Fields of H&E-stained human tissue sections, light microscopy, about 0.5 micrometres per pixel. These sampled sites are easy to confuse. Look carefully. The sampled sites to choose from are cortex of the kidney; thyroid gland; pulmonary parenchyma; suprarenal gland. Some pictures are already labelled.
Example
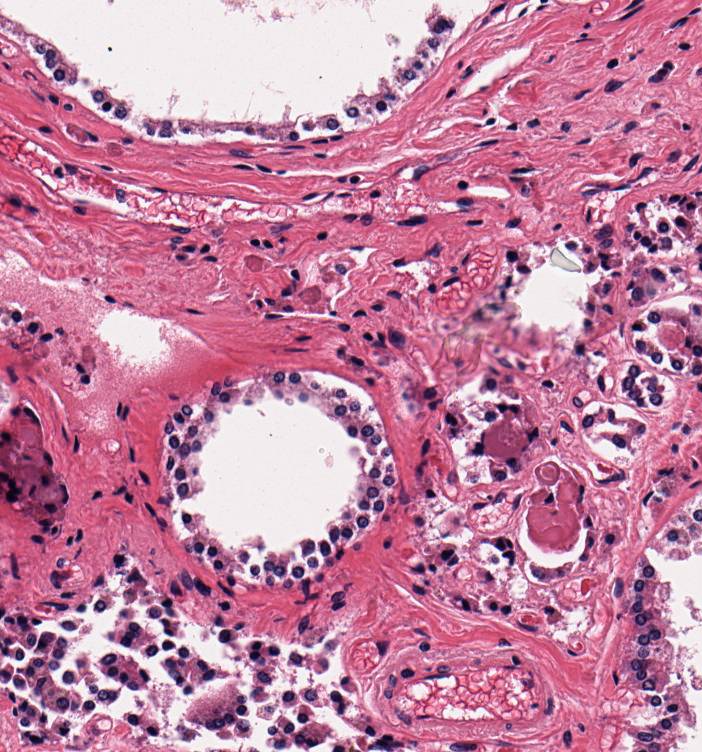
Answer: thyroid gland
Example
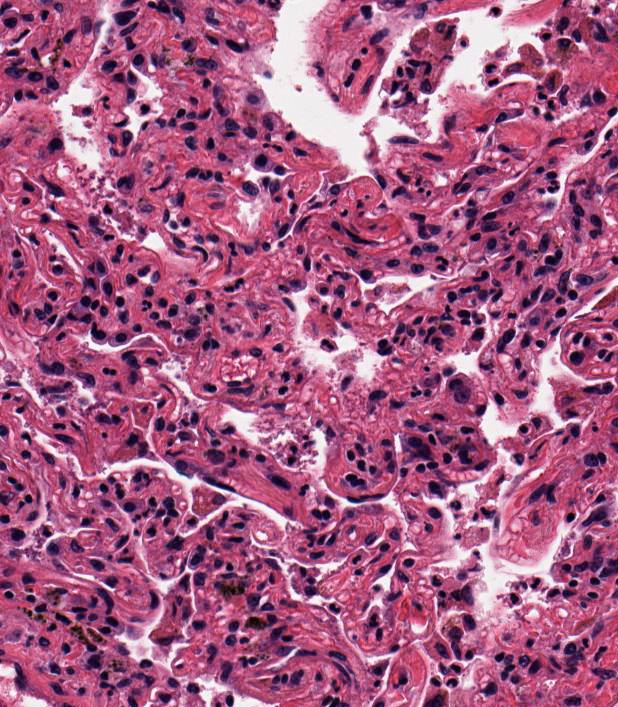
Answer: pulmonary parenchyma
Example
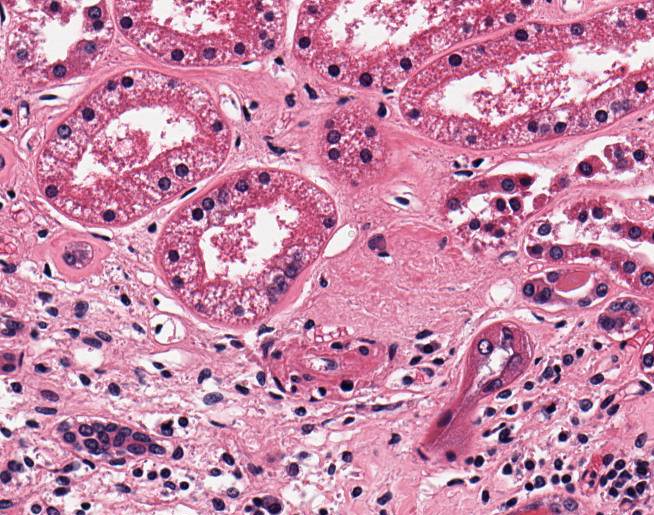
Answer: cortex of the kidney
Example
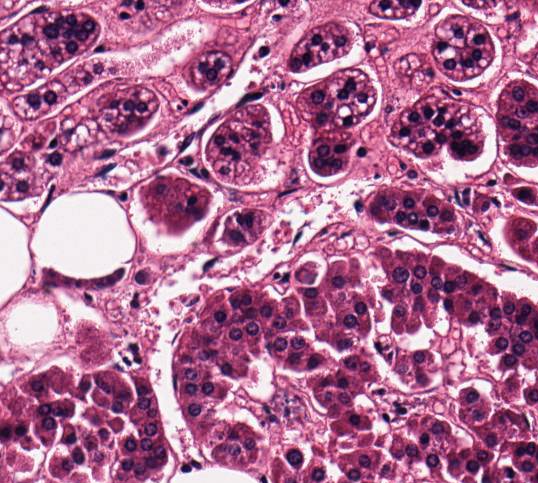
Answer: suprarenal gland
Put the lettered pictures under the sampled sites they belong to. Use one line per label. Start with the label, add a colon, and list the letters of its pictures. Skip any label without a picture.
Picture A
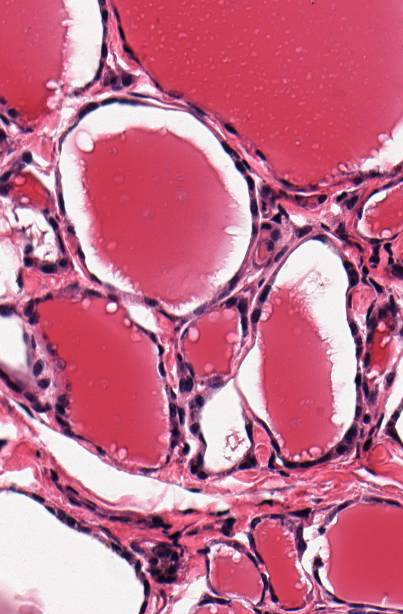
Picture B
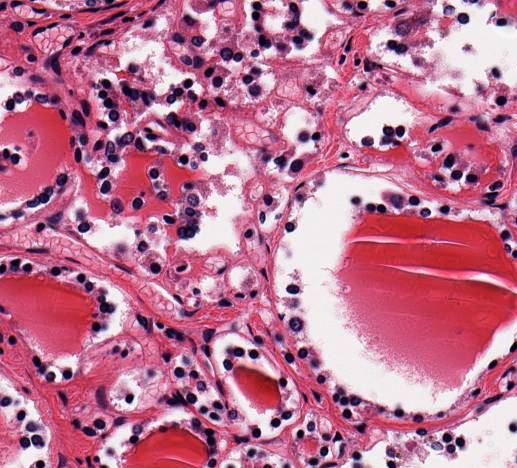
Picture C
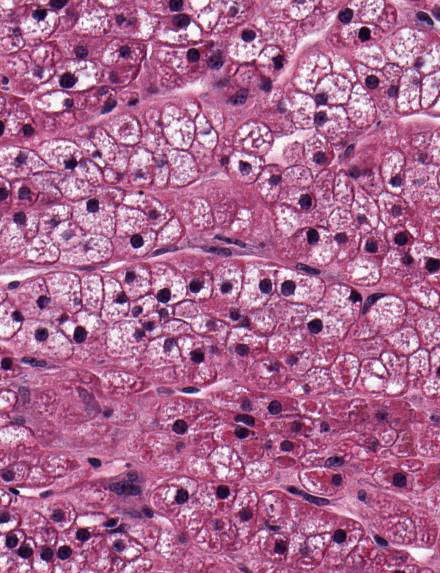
thyroid gland: A, B
suprarenal gland: C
